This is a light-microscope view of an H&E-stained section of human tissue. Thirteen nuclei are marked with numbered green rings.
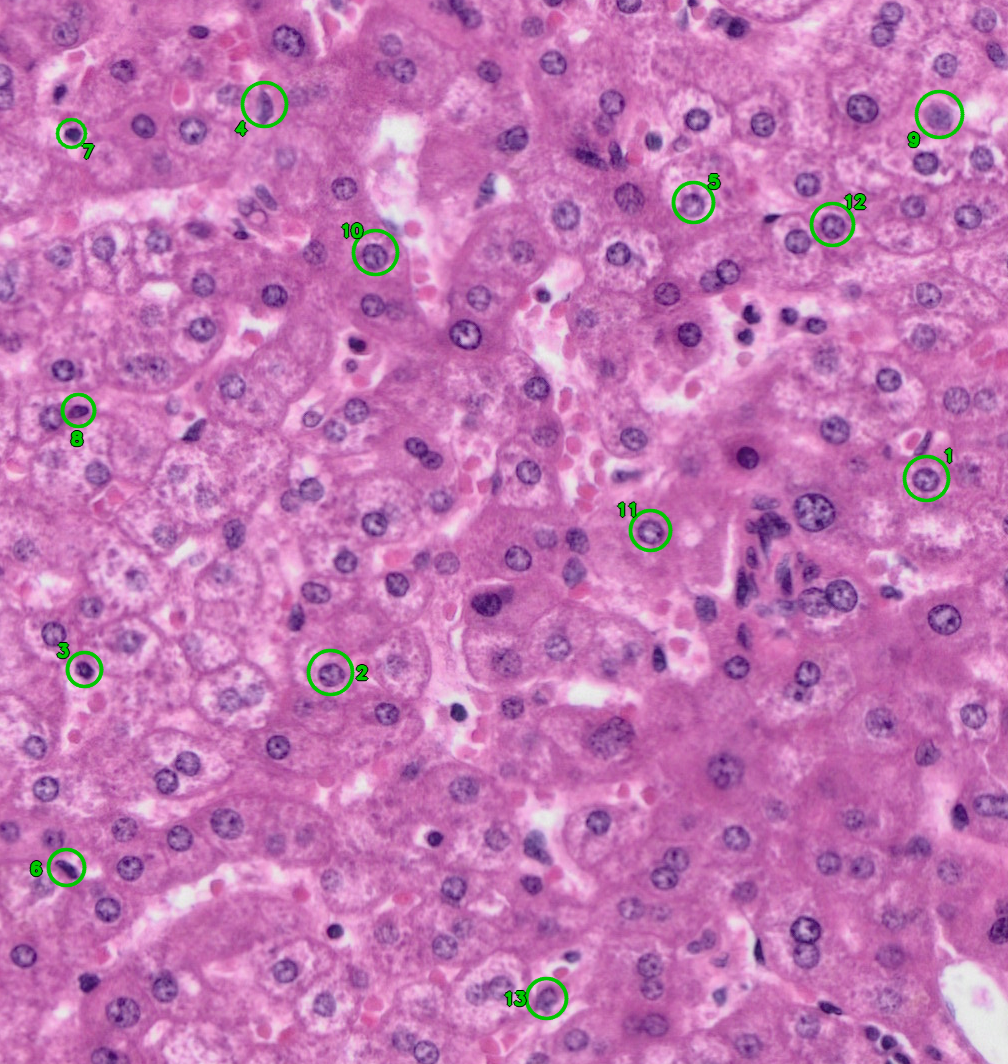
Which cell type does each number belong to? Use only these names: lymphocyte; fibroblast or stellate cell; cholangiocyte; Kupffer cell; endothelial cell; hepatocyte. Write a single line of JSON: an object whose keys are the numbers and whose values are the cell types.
{"1": "hepatocyte", "2": "hepatocyte", "3": "lymphocyte", "4": "endothelial cell", "5": "hepatocyte", "6": "endothelial cell", "7": "lymphocyte", "8": "fibroblast or stellate cell", "9": "endothelial cell", "10": "hepatocyte", "11": "hepatocyte", "12": "hepatocyte", "13": "Kupffer cell"}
